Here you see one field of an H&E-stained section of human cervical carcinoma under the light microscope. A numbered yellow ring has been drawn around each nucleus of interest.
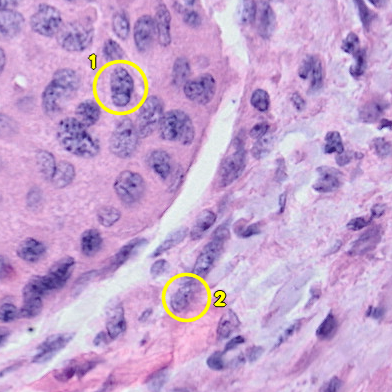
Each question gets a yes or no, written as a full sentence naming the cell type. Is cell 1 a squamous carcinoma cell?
Yes, the cell carrying label 1 is a squamous carcinoma cell.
